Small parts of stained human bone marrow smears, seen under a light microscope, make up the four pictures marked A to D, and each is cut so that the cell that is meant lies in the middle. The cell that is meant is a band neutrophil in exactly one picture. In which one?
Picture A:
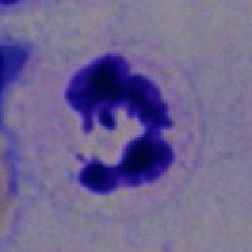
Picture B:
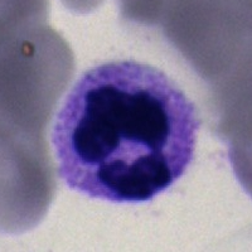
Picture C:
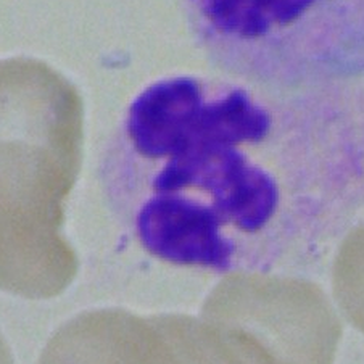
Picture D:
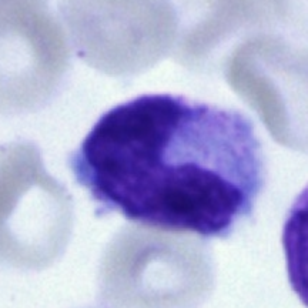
D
